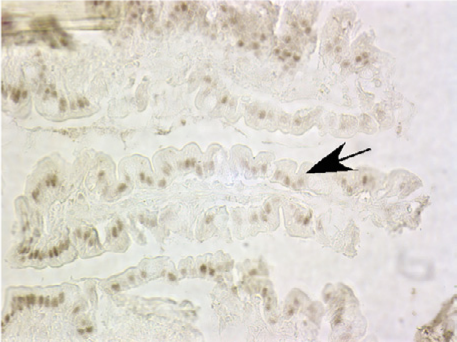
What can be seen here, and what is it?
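Longitudinally cut intestinal villi are lined by a single layer of columnar epithelial cells around a pale core. The epithelial nuclei lie in a row along the base of the cells but are only faintly brownish, with many nearly unstained.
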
